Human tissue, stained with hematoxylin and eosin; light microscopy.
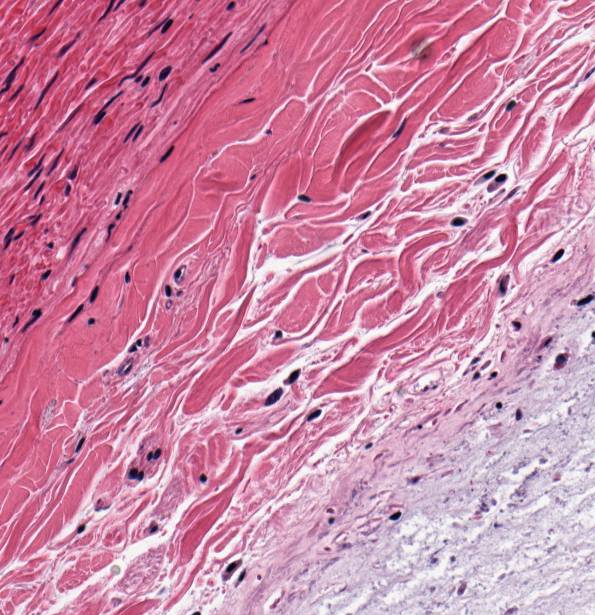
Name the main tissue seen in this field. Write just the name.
smooth muscle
